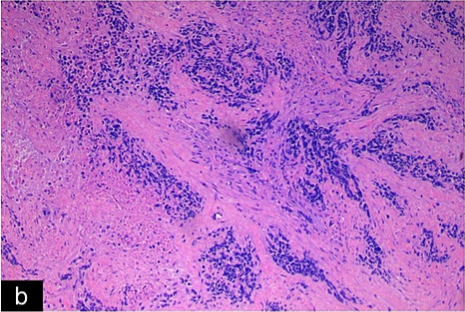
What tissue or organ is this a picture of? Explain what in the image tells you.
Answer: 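Fibrous/sclerosed tissue. Much of the field is dense pink collagenous stroma with sparse spindle nuclei. Dark-blue cell groups lie as strands and clusters within the pink stroma.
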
